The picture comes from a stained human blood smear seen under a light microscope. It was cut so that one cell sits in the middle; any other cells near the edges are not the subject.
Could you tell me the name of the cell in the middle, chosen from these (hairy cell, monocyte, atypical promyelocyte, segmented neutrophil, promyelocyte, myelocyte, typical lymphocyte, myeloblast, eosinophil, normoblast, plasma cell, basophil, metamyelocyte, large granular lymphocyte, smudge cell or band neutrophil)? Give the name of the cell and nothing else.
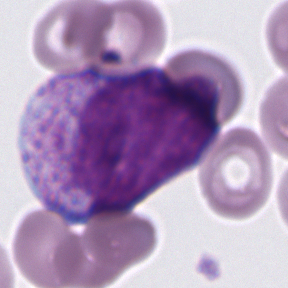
atypical promyelocyte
